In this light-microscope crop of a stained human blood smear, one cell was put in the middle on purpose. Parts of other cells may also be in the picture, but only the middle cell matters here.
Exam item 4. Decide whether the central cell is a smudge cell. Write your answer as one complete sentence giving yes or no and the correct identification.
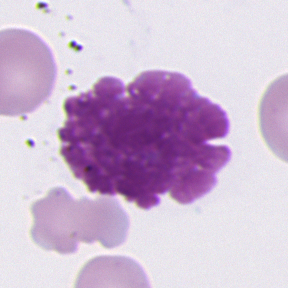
Yes, the middle cell in this crop is a smudge cell.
